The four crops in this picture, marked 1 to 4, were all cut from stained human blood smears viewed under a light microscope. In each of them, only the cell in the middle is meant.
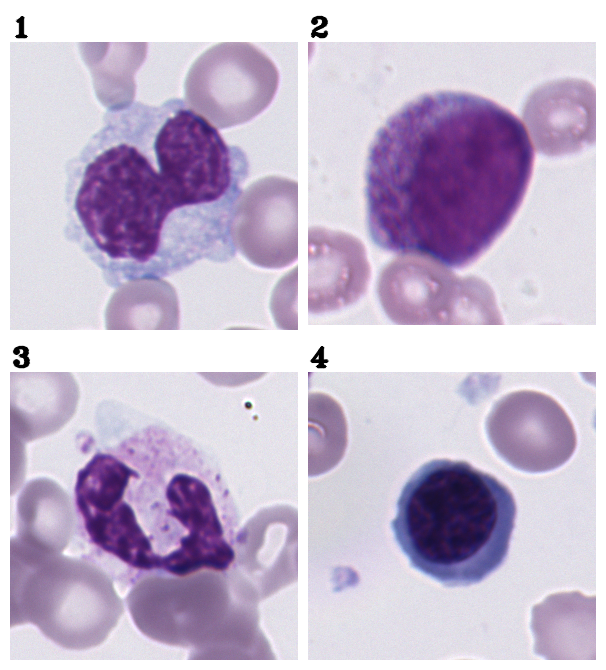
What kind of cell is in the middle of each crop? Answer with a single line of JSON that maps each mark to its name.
{"1": "monocyte", "2": "promyelocyte", "3": "segmented neutrophil", "4": "normoblast"}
